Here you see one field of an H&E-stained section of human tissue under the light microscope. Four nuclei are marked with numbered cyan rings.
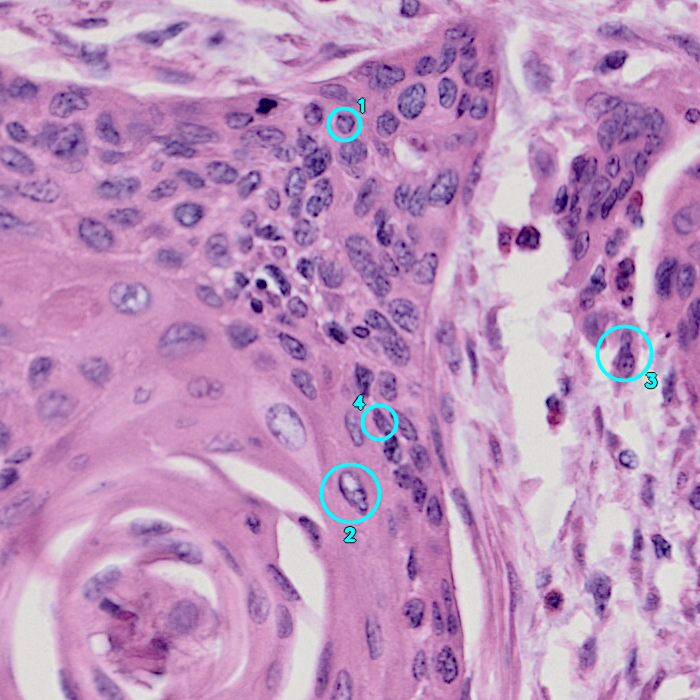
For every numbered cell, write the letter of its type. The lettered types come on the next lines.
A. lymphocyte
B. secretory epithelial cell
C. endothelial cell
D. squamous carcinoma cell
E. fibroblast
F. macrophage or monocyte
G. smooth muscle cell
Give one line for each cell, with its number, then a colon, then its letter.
1: D
2: D
3: F
4: D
